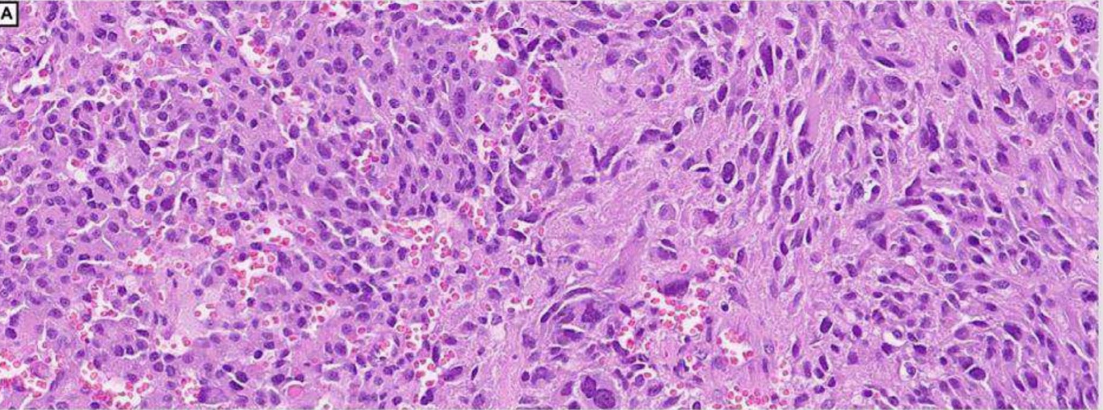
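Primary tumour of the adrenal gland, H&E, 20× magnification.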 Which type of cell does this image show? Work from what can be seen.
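Polygonal cells with ample pink cytoplasm lie in sheets on the left. Nuclei are round to oval and fairly uniform there. The answer: epithelioid cells.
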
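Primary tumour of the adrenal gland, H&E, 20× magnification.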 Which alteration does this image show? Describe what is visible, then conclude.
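Cells on the left are fairly uniform with round to oval nuclei. Cells on the right have large, irregular, hyperchromatic nuclei varying greatly in size. The change between the two areas is sharp across the middle of the panel.
Hence: abrupt transition to highly pleomorphic cells.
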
